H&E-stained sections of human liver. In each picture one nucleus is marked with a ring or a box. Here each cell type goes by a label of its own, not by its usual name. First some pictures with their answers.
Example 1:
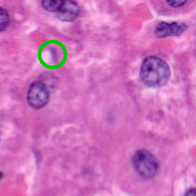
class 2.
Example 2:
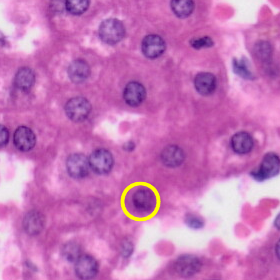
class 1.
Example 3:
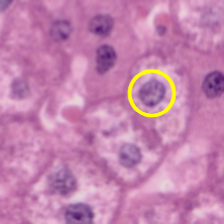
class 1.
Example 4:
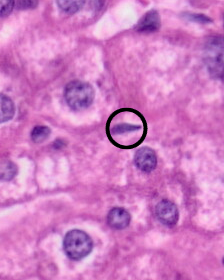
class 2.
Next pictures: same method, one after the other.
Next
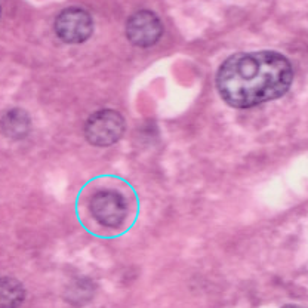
class 1.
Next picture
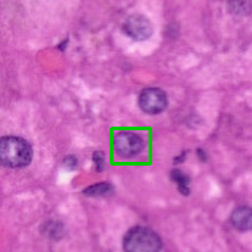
class 1.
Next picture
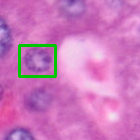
class 1.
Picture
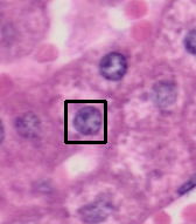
class 1.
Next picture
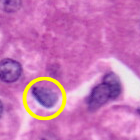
class 2.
